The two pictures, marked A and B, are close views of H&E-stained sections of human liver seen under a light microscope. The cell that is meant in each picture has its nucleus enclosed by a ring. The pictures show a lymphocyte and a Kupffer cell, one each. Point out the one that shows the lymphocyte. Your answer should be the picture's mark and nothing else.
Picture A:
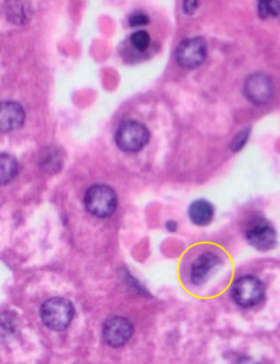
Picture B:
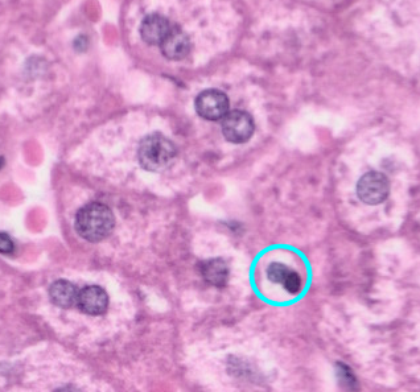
B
